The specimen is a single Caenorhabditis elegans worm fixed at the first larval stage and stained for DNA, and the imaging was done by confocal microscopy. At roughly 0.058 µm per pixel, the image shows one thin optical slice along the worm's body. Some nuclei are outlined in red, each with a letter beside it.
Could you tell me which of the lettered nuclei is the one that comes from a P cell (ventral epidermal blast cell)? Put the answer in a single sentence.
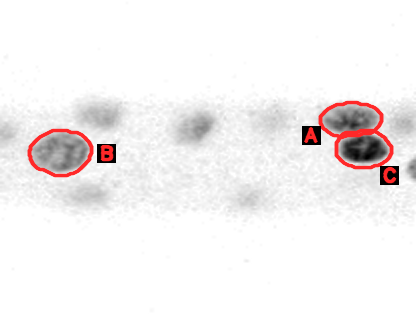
A is the one that belongs to a P cell (ventral epidermal blast cell).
